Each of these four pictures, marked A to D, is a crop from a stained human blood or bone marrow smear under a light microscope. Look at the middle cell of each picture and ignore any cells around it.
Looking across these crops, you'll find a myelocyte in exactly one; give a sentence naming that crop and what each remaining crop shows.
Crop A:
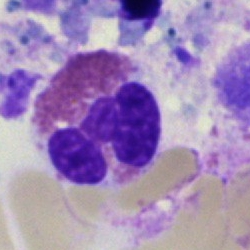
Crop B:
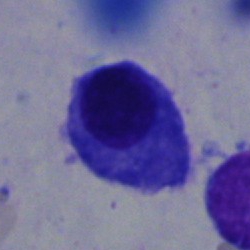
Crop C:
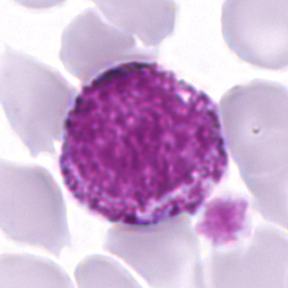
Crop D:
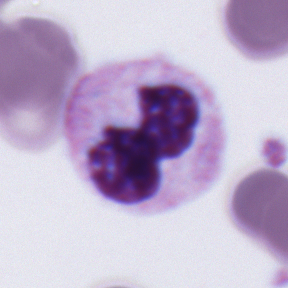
In the crop designated C, the cell is a myelocyte, while crop A is an eosinophil, crop B is a plasma cell and crop D is a segmented neutrophil.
